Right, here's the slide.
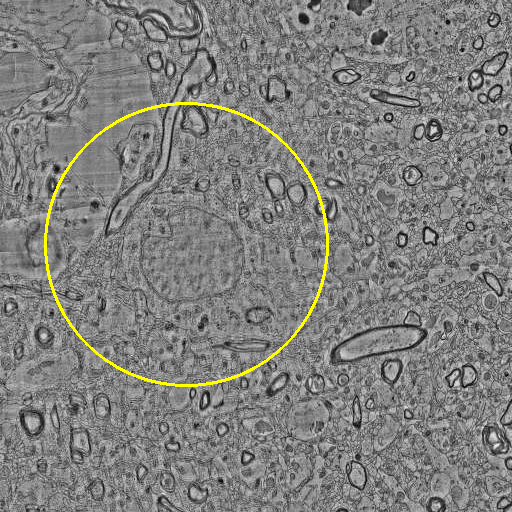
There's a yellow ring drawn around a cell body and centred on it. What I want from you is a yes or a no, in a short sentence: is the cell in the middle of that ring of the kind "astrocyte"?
No, it's of some other kind.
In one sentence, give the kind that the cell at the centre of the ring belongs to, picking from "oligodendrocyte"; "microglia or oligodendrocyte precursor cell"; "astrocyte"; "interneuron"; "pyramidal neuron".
At the centre of the ring sits an interneuron.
